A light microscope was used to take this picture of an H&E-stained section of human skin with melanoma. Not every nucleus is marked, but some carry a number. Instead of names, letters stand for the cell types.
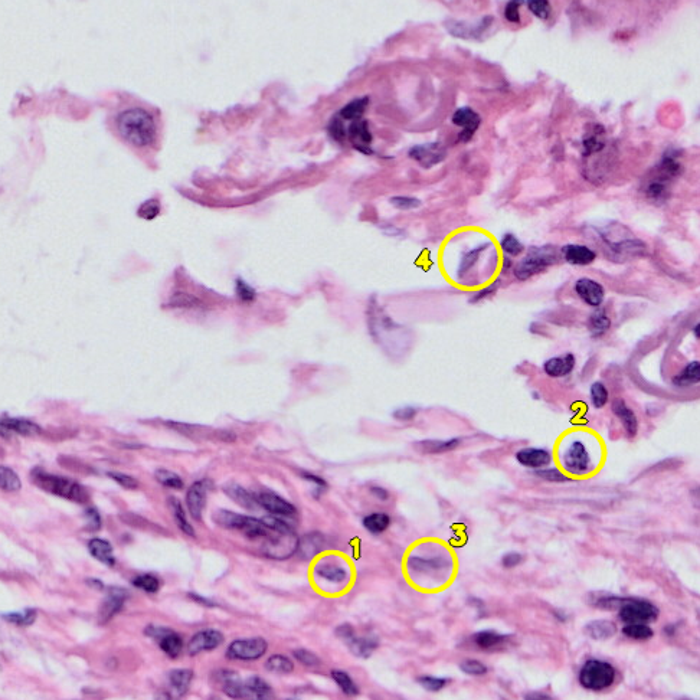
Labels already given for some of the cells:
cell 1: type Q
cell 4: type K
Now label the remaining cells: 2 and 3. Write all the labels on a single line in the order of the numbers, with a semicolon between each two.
type Q; type K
